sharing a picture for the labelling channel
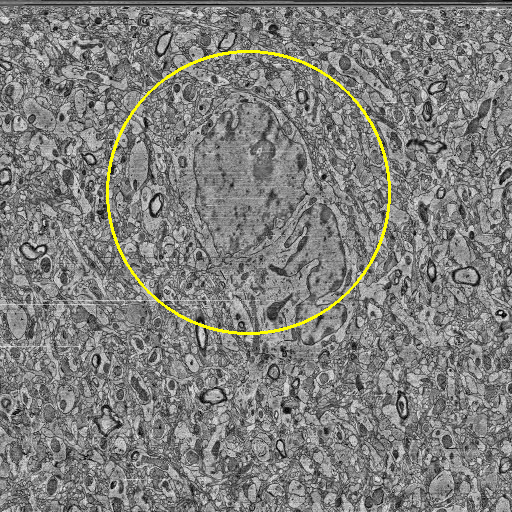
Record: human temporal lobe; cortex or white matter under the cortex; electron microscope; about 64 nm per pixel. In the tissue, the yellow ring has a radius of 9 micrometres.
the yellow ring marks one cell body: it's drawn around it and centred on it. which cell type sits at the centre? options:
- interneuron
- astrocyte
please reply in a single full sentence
In the picture, the cell at the ring's centre is an interneuron, going by the list.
